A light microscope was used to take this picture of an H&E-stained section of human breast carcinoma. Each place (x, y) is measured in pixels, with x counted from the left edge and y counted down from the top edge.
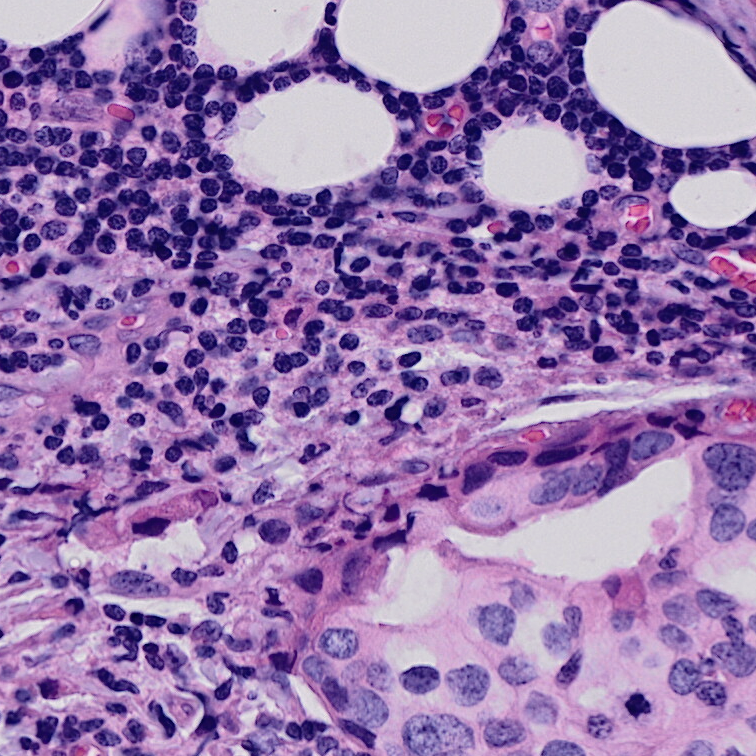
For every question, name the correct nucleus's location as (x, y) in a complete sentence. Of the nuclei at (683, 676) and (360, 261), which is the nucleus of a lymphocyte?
Only the nucleus at (360, 261), of the two, belongs to a lymphocyte.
